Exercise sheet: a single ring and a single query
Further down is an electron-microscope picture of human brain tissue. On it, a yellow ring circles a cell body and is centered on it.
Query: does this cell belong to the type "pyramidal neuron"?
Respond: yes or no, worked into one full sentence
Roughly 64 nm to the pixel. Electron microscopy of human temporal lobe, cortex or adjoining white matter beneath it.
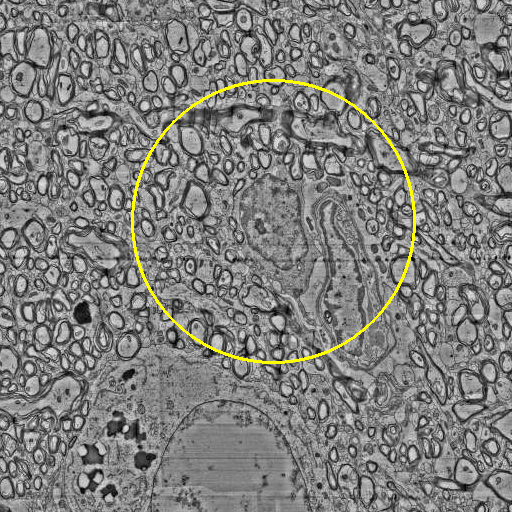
No, this ringed cell, found at the center of the ring in the picture, is of a different type.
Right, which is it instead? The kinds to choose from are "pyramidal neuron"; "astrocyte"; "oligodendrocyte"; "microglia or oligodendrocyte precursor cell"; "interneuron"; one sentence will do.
The ring holds an oligodendrocyte at its centre.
